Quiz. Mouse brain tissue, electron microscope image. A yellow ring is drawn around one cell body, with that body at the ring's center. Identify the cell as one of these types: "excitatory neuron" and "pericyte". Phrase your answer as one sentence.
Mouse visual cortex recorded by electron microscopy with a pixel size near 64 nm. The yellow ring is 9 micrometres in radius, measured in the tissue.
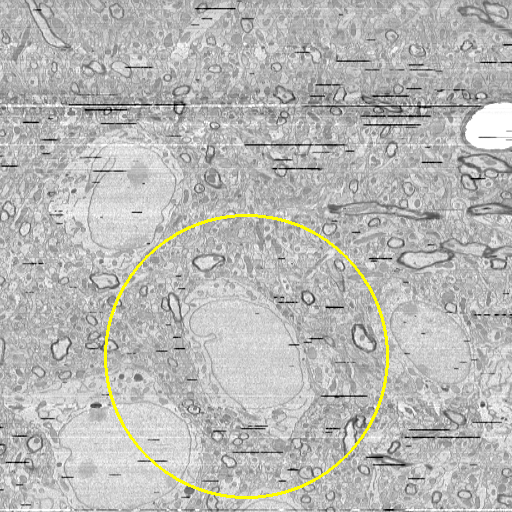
At the center of the ring sits an excitatory neuron.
